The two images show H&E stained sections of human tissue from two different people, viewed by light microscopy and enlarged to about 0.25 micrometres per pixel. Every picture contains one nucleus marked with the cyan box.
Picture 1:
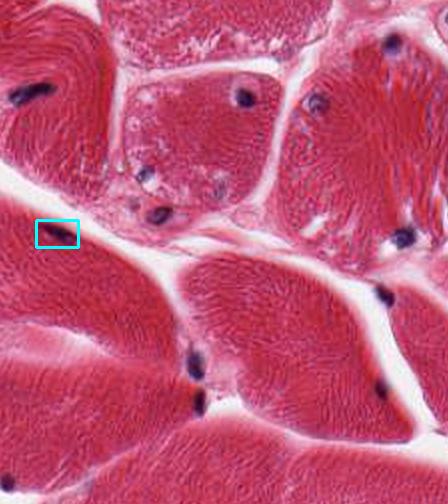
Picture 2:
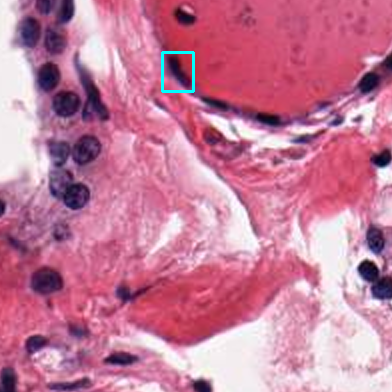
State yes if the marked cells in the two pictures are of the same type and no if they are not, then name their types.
No, the first is a skeletal muscle fibre and the second a thyroid follicular cell.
